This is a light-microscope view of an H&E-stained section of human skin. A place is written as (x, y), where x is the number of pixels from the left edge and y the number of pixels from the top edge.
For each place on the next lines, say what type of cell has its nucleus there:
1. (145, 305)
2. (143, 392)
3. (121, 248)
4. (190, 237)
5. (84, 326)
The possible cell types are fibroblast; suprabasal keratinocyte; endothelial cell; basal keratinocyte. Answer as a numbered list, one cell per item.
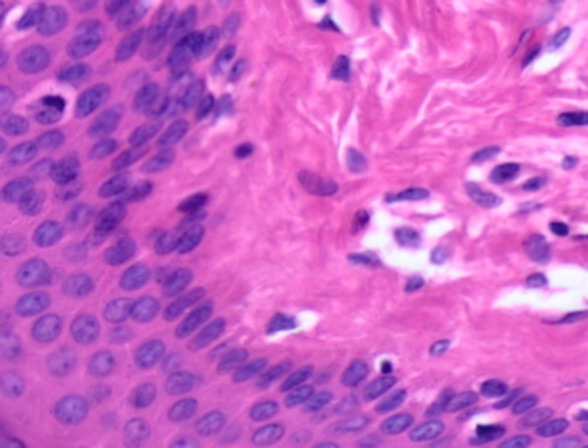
1. suprabasal keratinocyte
2. suprabasal keratinocyte
3. basal keratinocyte
4. basal keratinocyte
5. suprabasal keratinocyte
